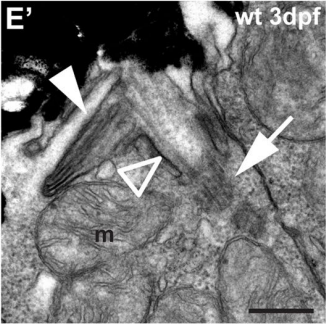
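The apex of a photoreceptor is seen at high magnification, with dark material of the pigmented layer above. A small set of thin parallel membranes is stacked obliquely at the top of the cell, the beginnings of an outer segment. Below lie rounded mitochondria with folded cristae, packed in the inner segment.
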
